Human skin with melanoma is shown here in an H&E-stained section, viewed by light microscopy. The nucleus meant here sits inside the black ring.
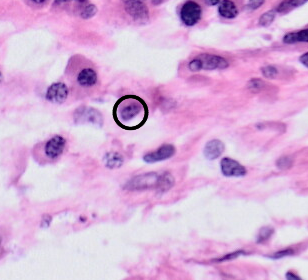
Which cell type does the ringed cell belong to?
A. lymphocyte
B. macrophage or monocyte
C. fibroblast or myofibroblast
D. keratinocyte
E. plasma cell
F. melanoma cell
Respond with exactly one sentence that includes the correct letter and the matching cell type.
Option E gives the correct identity of the ringed cell, which is a plasma cell.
